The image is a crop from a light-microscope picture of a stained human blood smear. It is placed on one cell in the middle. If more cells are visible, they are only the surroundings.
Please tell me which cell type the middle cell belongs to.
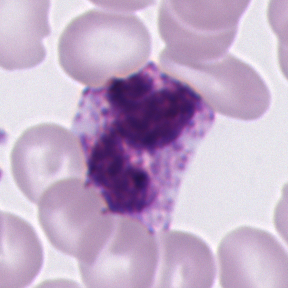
basophil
